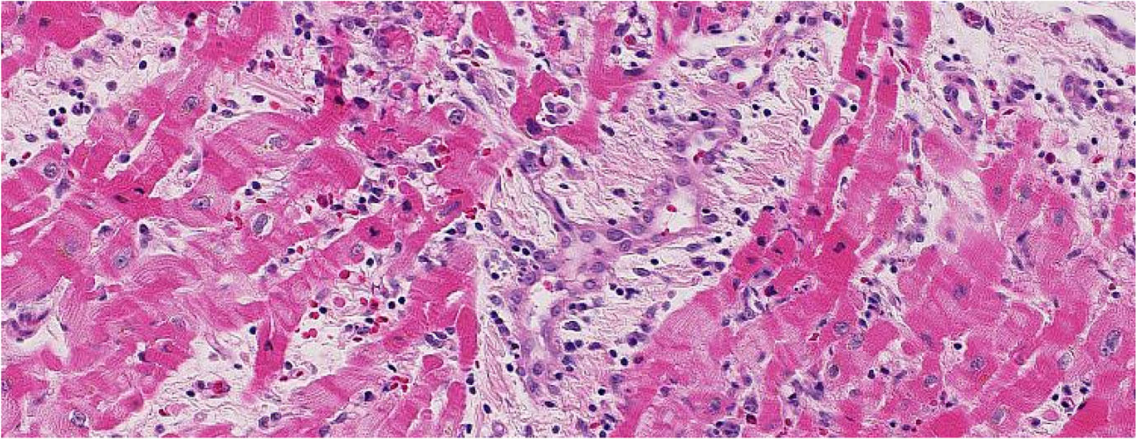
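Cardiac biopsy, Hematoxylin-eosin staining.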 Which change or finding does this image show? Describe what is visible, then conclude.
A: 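Interstitial edema. Wide, pale, loosely textured spaces separate the pink muscle fibers. The tissue between the fibers looks loose and wispy rather than tightly packed.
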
